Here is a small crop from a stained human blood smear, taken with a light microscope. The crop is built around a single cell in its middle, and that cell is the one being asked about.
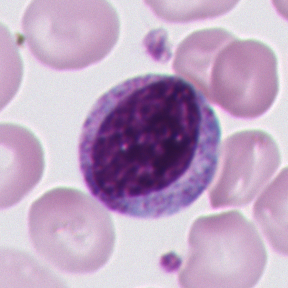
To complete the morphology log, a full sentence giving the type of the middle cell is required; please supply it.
The middle of this crop holds a myelocyte.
